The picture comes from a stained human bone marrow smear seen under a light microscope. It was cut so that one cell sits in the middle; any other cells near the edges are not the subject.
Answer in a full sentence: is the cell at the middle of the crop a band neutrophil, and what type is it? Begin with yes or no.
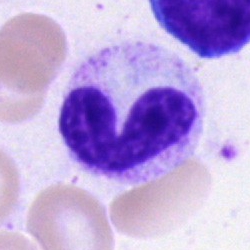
Yes, within this crop, the central cell is a band neutrophil.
